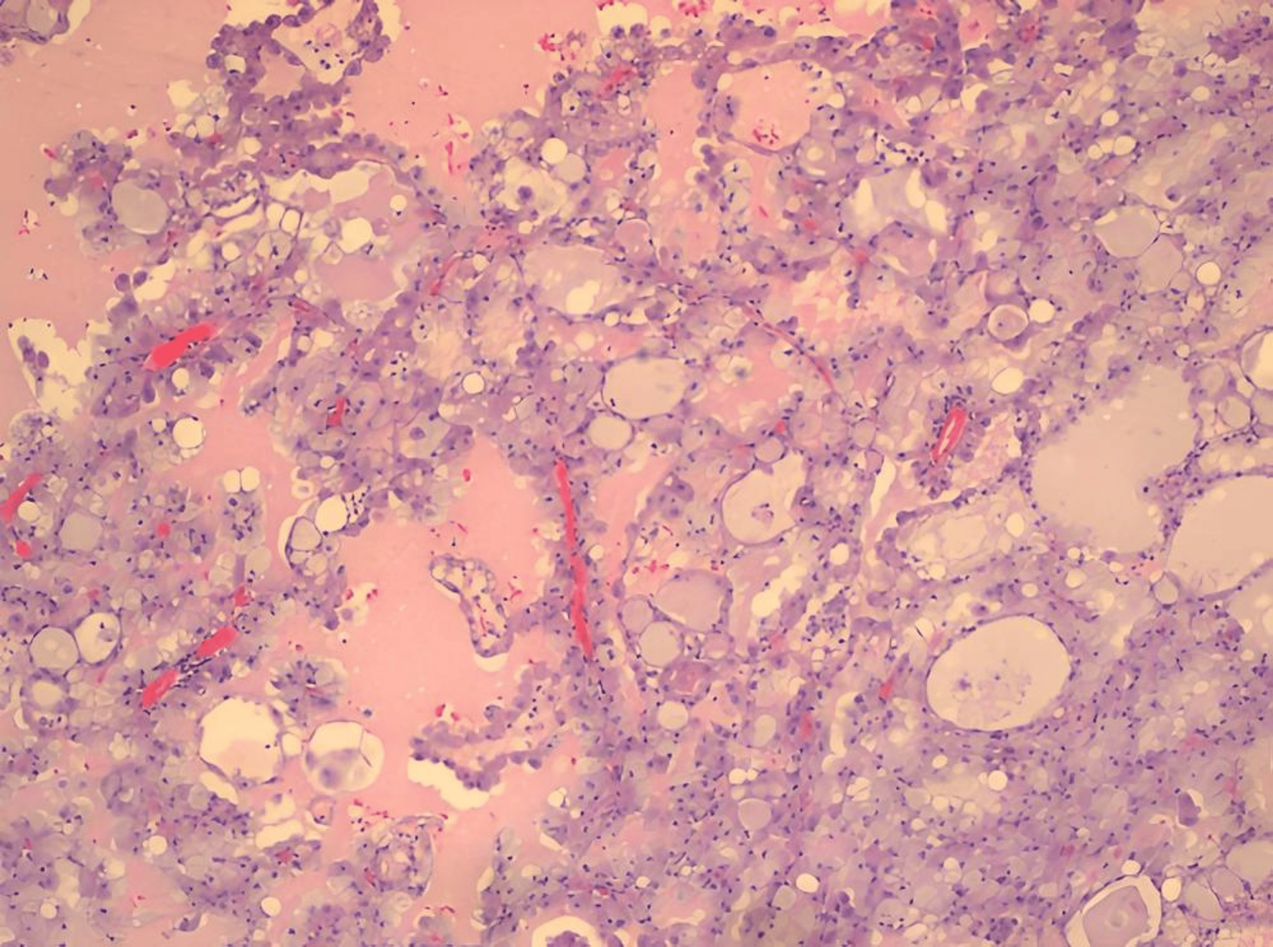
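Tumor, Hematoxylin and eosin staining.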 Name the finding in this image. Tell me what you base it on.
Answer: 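Many cells contain round clear spaces of varying size in their cytoplasm. Some vacuoles are large and hold pale material. So: vacuolated cytoplasm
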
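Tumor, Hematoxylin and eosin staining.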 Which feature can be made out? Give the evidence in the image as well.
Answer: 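Broad pools of homogeneous pale pink material lie between the cell cords and clusters. The pink material is acellular apart from scattered red blood cells. That points to this answer: abundant extracellular colloid-like material.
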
